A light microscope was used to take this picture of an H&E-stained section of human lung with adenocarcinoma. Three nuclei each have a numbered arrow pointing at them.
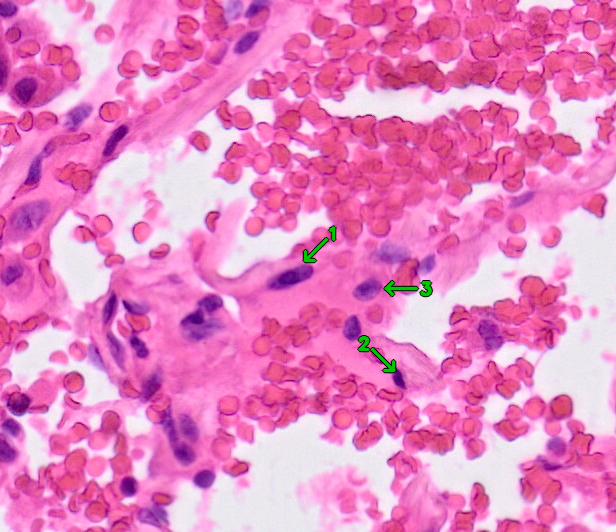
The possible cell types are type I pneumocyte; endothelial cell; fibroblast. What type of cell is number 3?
type I pneumocyte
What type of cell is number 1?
type I pneumocyte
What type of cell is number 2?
endothelial cell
